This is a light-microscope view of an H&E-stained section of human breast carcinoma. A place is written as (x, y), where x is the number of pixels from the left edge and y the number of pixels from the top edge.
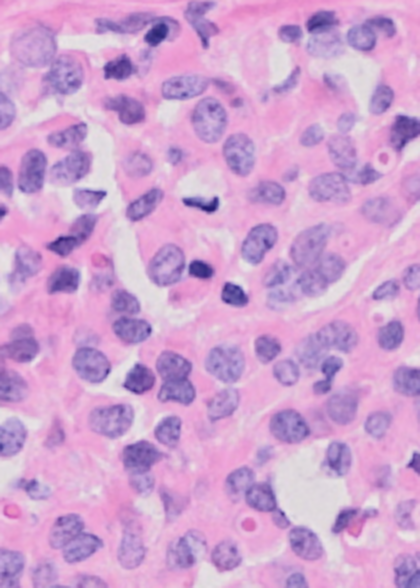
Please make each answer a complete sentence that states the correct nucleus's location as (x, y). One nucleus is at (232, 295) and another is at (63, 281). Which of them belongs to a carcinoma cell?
The one belonging to a carcinoma cell is the nucleus at (63, 281), not the other.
